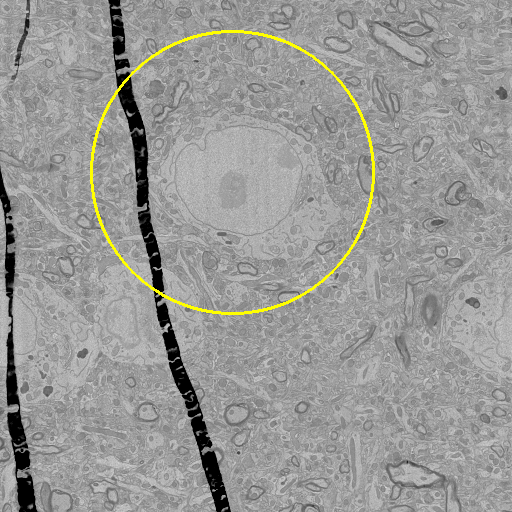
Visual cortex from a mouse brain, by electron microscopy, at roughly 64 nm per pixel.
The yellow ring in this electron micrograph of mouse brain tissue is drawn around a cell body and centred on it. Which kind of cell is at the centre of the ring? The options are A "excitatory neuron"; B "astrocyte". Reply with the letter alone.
A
